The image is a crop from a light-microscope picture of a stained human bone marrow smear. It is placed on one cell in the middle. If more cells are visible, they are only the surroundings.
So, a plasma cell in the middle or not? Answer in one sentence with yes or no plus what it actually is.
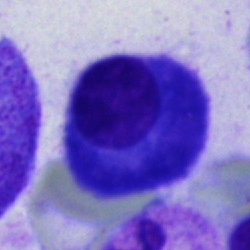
Yes, a plasma cell is the cell positioned in the middle of the field.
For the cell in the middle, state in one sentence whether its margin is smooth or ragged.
The membrane contour is even and smooth, with nothing projecting from it.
